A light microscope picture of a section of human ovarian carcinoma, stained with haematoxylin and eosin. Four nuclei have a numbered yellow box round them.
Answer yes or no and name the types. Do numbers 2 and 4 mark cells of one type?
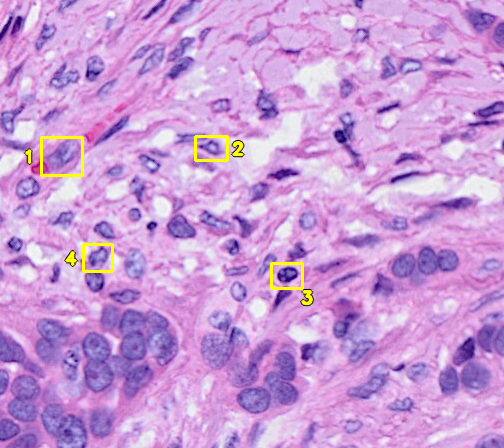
Yes, both are fibroblasts.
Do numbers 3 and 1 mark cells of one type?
No, cell 3 is a lymphocyte and cell 1 is an endothelial cell.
